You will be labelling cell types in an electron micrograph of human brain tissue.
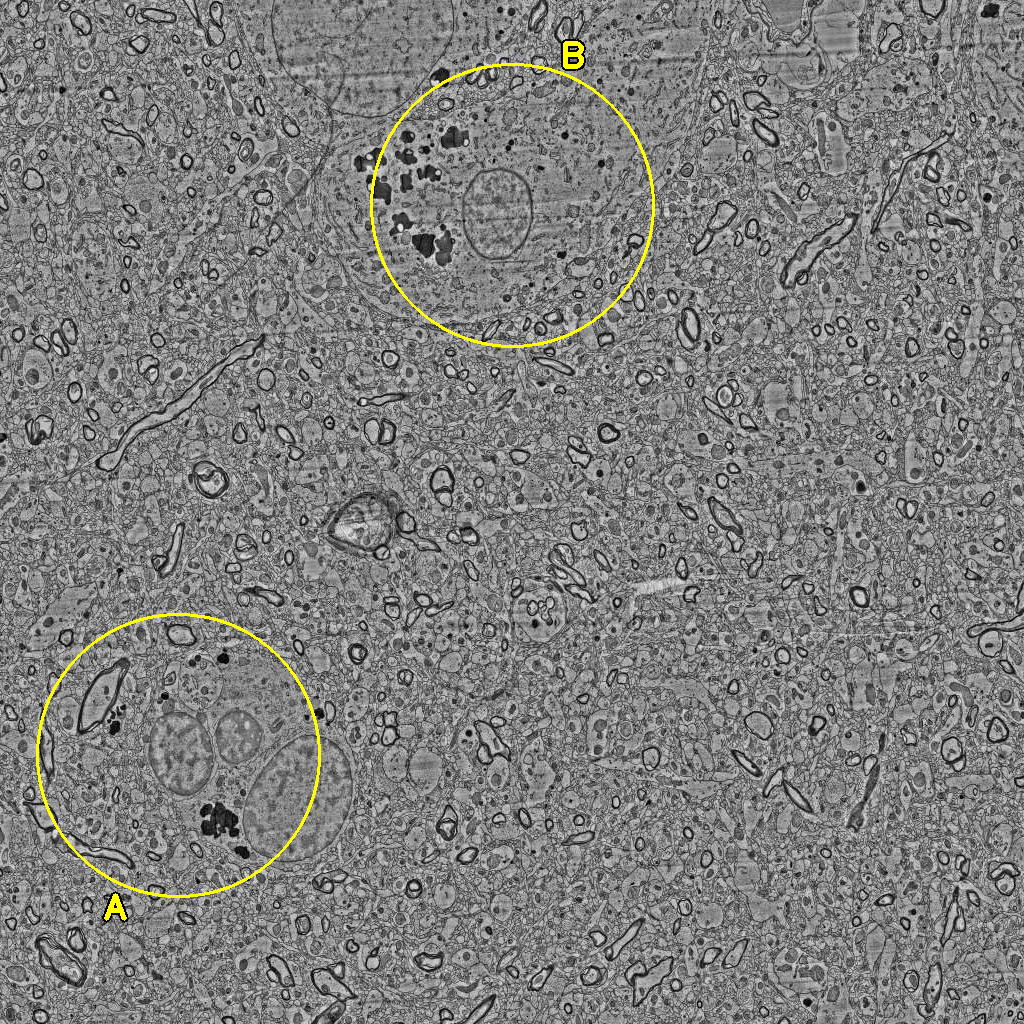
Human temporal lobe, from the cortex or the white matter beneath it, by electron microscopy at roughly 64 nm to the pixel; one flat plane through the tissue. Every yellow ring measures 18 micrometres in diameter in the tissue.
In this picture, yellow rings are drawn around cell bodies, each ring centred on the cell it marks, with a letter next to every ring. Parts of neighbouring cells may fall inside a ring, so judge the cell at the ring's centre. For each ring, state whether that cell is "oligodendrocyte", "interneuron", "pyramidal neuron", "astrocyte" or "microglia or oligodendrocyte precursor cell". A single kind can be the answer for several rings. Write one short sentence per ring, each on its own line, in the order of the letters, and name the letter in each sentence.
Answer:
Ring A contains an oligodendrocyte at its centre.
Ring B contains a pyramidal neuron at its centre.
